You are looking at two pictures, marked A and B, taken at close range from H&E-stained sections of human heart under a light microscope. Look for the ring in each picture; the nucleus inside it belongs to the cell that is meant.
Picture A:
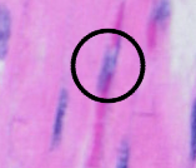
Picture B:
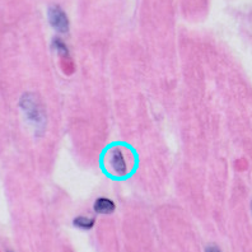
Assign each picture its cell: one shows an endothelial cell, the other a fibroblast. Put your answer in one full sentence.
In picture A the cell is an endothelial cell; in picture B, a fibroblast.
